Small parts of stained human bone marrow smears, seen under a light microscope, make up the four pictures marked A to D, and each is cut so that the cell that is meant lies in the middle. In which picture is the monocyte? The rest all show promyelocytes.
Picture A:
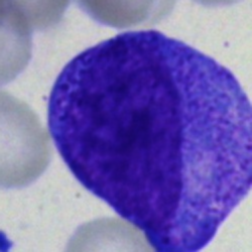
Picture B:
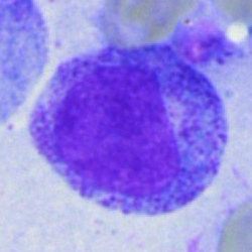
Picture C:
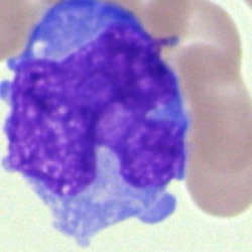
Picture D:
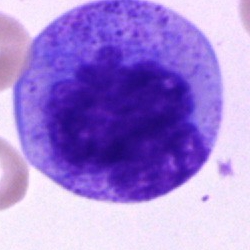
C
